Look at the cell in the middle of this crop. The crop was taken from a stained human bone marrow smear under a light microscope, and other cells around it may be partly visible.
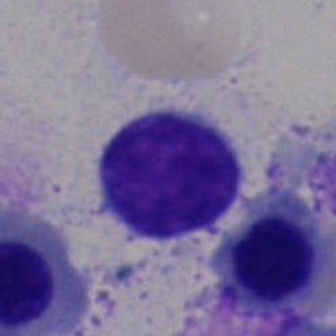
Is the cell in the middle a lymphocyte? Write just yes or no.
yes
